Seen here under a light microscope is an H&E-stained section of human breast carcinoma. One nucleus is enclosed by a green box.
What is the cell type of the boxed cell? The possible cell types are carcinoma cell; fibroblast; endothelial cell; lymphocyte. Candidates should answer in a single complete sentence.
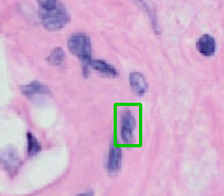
In this section of tissue, the boxed cell is an endothelial cell.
